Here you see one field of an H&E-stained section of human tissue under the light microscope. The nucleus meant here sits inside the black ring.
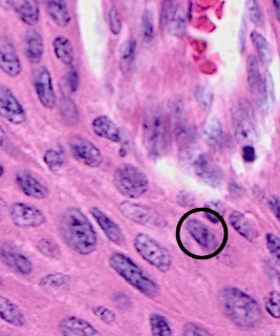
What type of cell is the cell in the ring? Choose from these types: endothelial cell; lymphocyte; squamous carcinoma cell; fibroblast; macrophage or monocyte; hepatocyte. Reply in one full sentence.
The expected answer is simply that the cell in the ring is a squamous carcinoma cell.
